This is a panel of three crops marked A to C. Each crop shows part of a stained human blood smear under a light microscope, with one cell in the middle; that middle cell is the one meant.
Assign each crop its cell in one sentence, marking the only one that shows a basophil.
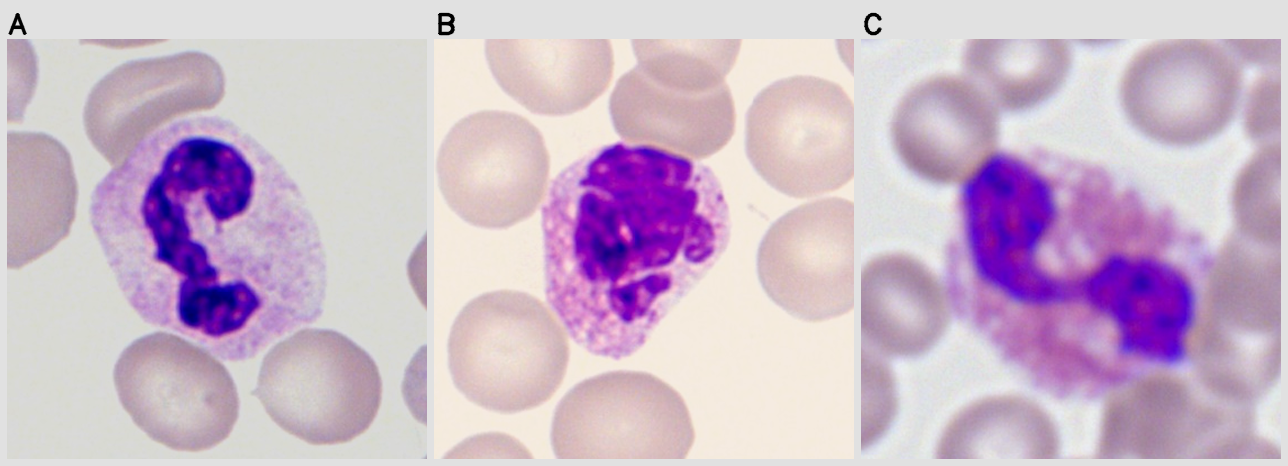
Crop B features a basophil, while crop A is a segmented neutrophil and crop C is an eosinophil.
